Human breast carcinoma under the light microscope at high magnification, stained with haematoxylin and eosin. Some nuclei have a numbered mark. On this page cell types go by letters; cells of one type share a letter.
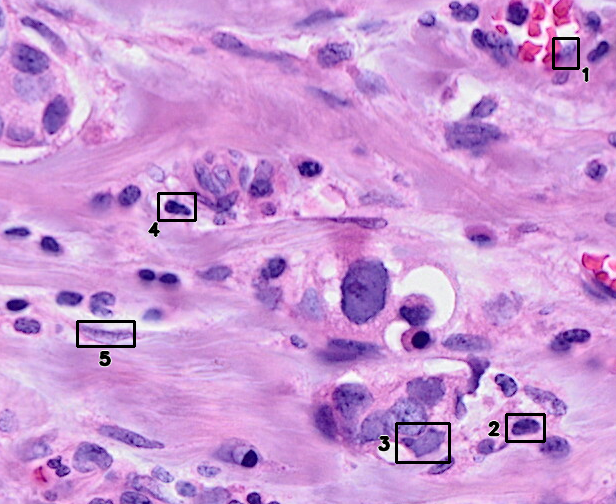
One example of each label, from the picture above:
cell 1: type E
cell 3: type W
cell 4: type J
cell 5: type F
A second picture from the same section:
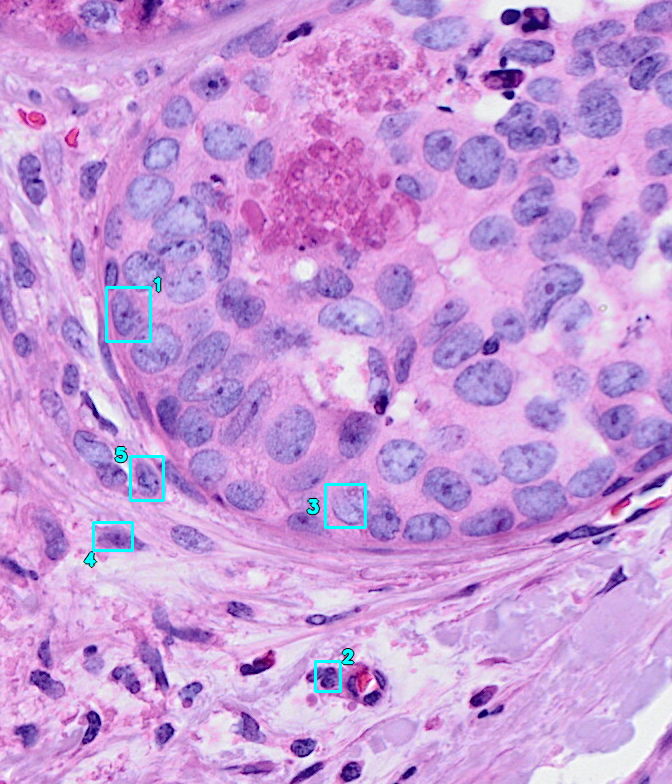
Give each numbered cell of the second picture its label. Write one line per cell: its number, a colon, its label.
1: type W
2: type E
3: type W
4: type F
5: type E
